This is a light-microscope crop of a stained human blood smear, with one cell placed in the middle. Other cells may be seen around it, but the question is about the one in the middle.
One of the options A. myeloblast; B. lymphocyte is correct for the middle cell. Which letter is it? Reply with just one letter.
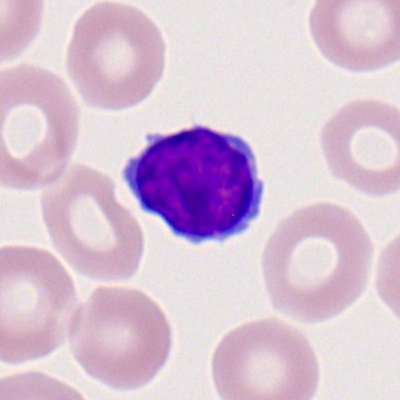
B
